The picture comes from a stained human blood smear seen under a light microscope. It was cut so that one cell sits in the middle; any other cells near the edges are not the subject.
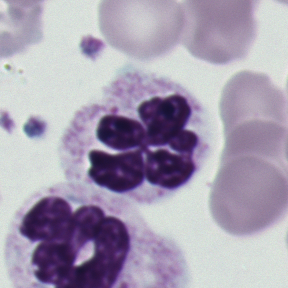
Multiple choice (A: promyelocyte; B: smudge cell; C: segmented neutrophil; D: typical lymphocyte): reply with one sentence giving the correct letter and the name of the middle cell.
The central cell in this crop is a segmented neutrophil, corresponding to option C, the correct option.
